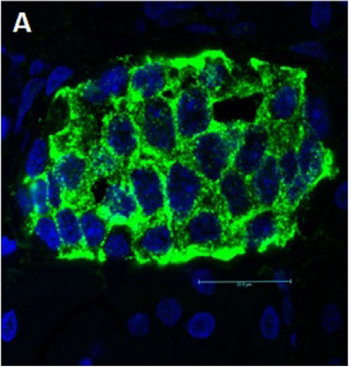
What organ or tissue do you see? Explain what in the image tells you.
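Islets. A compact, rounded cluster of closely packed cells stands out from the surrounding tissue. The cells of the cluster are brightly stained green while the cells around it are not. The surrounding cells lie in a different, unstained arrangement below and around the cluster.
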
